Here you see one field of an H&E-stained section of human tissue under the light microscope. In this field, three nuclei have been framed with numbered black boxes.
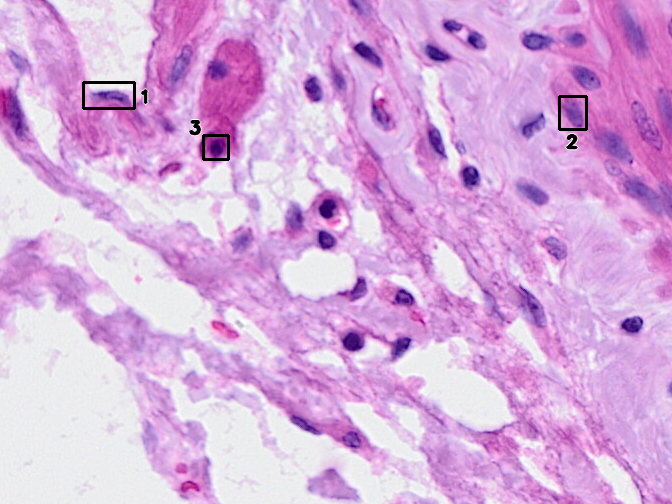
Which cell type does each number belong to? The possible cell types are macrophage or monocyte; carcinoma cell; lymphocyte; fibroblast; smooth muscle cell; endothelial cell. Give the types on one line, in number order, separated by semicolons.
endothelial cell; smooth muscle cell; smooth muscle cell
